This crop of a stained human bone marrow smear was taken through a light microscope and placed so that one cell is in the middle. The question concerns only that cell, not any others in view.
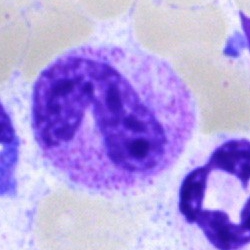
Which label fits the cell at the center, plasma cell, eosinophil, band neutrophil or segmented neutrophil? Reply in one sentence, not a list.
As for the central cell, it is a band neutrophil.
